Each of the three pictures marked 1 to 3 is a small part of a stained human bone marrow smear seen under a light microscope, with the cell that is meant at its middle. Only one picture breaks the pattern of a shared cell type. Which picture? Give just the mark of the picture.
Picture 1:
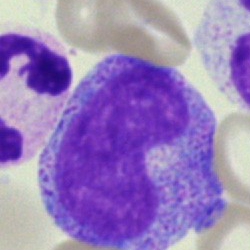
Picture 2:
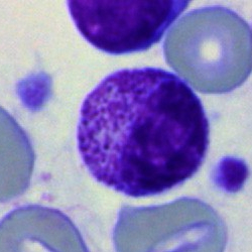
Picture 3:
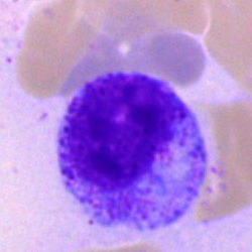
1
